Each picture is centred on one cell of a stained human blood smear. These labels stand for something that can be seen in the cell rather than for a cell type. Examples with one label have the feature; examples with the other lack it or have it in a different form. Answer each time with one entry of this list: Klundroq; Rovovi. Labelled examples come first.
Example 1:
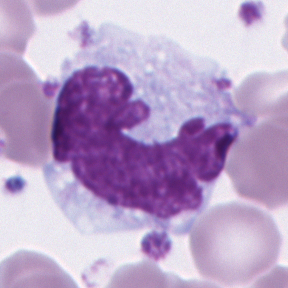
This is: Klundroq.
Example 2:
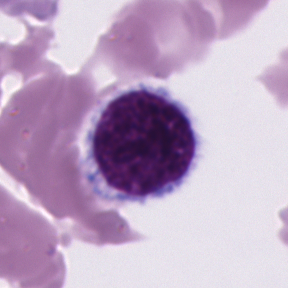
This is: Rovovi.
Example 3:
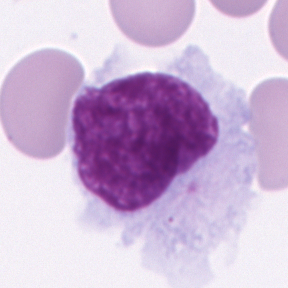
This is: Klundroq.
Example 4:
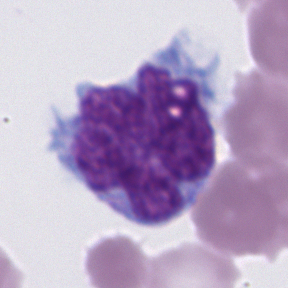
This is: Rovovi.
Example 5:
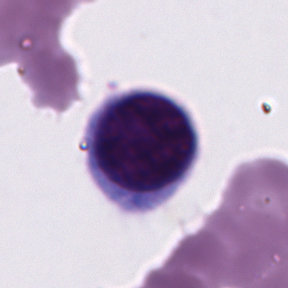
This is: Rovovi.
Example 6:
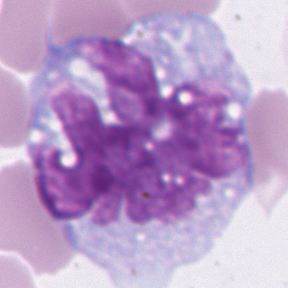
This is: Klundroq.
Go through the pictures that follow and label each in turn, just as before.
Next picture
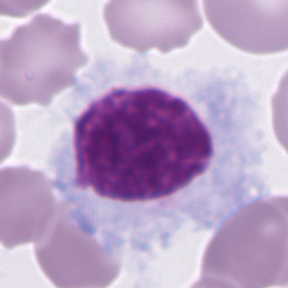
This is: Klundroq.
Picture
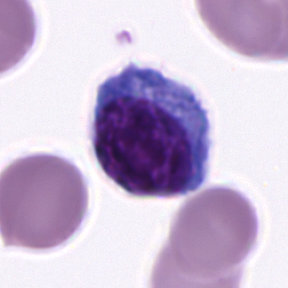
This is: Klundroq.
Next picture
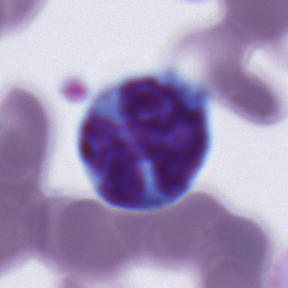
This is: Rovovi.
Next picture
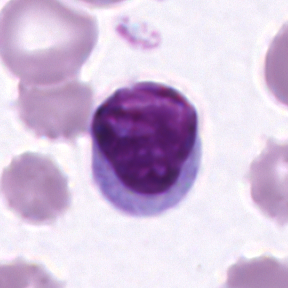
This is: Rovovi.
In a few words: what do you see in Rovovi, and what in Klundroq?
Rovovi: scant cytoplasm; Klundroq: abundant cytoplasm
